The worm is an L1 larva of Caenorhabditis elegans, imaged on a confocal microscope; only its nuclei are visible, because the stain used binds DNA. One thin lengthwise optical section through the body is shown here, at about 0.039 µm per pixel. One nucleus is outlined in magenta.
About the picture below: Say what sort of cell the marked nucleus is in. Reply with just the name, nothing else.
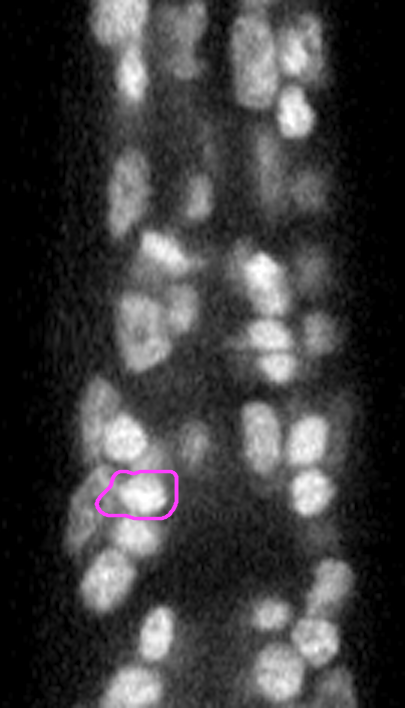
neuron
